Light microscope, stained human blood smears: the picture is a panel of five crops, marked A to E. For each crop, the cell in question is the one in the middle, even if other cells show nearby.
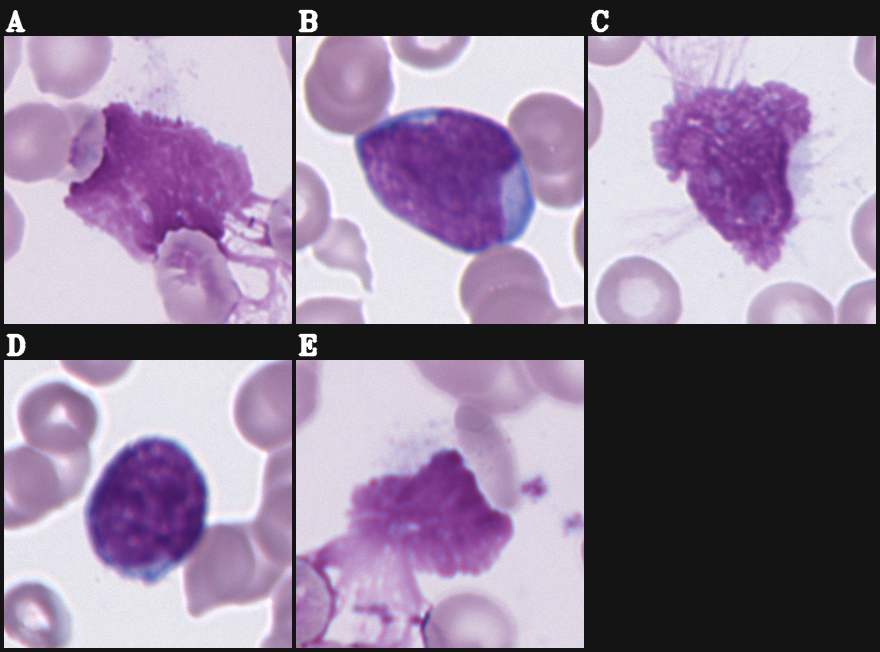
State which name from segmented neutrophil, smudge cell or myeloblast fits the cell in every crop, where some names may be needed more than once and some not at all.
A: smudge cell
B: myeloblast
C: smudge cell
D: myeloblast
E: smudge cell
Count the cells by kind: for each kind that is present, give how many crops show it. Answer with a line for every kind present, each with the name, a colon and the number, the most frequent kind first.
smudge cell: 3
myeloblast: 2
